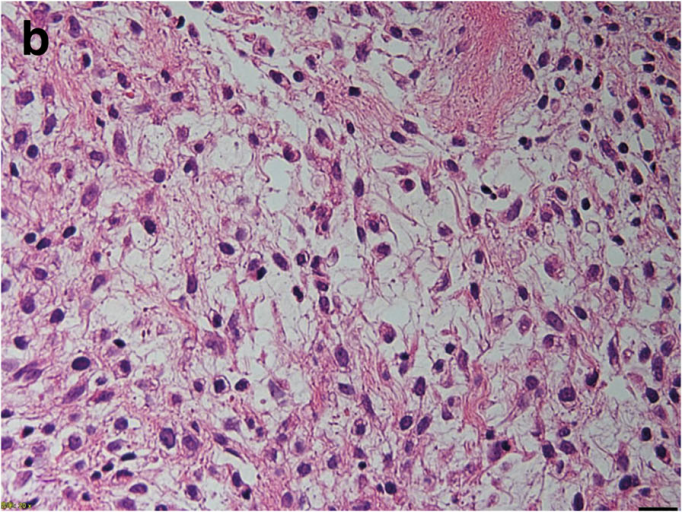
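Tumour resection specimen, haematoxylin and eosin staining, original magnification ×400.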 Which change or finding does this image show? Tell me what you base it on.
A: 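Cells are spaced widely apart in a pale, loose, wispy background. Much empty-looking stroma lies between the nuclei.
Hypocellular area.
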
